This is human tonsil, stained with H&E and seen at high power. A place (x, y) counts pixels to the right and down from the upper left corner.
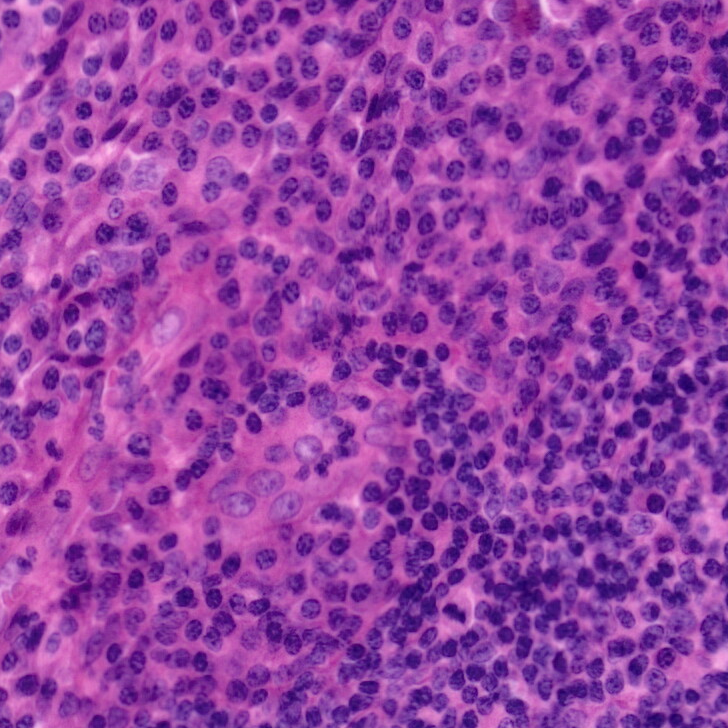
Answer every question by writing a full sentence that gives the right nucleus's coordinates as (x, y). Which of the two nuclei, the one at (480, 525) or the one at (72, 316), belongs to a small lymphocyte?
Rather than the other nucleus, the one at (480, 525) belongs to a small lymphocyte.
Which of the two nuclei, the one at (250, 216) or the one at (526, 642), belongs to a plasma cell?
It is the nucleus at (250, 216), not the other one, that belongs to a plasma cell.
